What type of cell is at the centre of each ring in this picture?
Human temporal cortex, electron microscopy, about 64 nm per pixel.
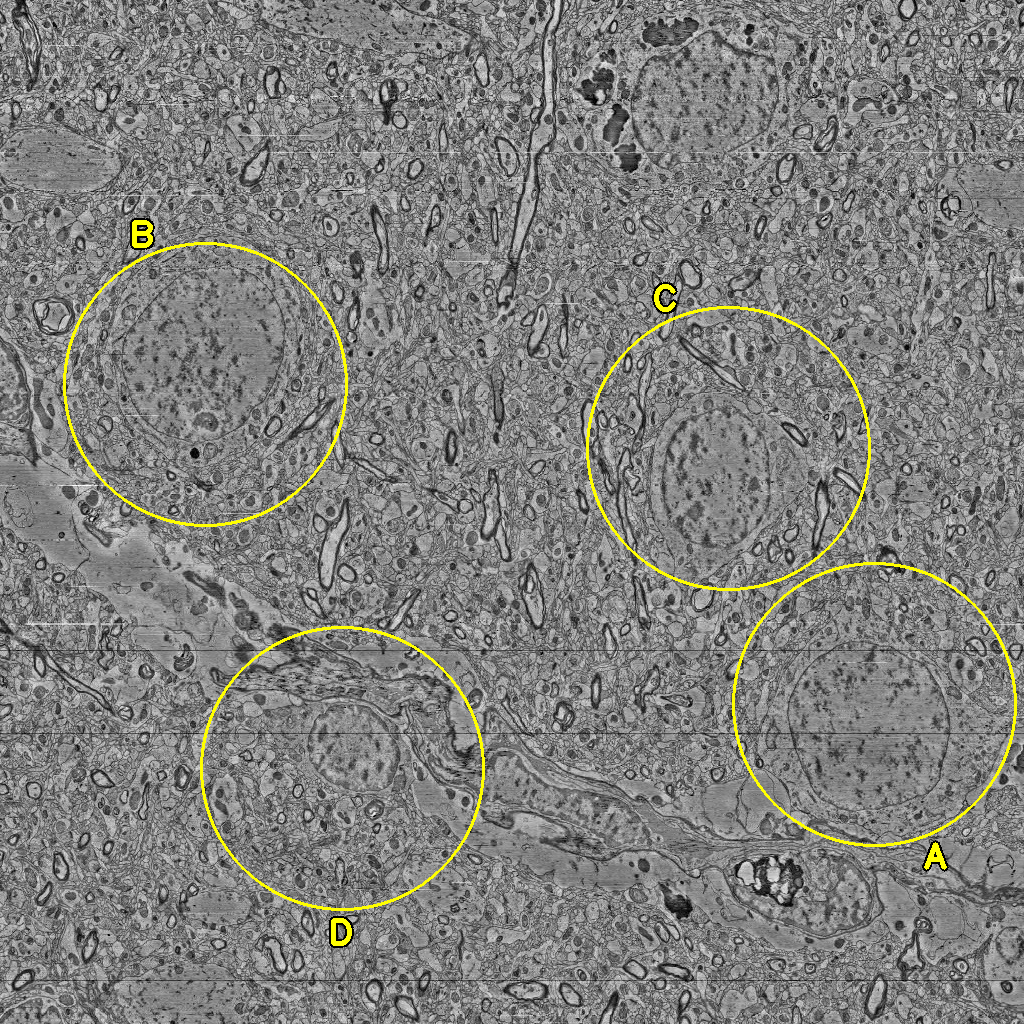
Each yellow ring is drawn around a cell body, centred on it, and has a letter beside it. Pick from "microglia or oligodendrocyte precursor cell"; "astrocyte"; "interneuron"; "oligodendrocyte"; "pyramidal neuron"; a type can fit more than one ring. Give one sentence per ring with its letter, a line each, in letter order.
The ring marked A is centred on a pyramidal neuron.
The ring marked B is centred on a pyramidal neuron.
The ring marked C is centred on an interneuron.
The ring marked D is centred on an oligodendrocyte.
